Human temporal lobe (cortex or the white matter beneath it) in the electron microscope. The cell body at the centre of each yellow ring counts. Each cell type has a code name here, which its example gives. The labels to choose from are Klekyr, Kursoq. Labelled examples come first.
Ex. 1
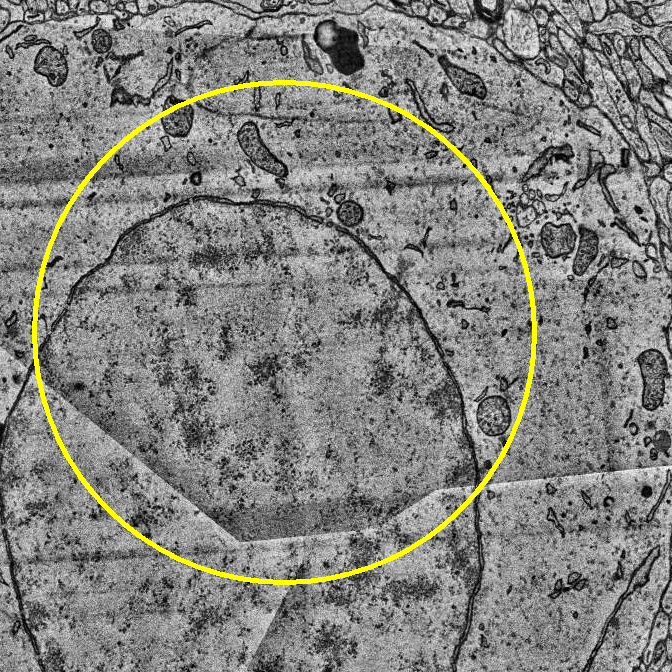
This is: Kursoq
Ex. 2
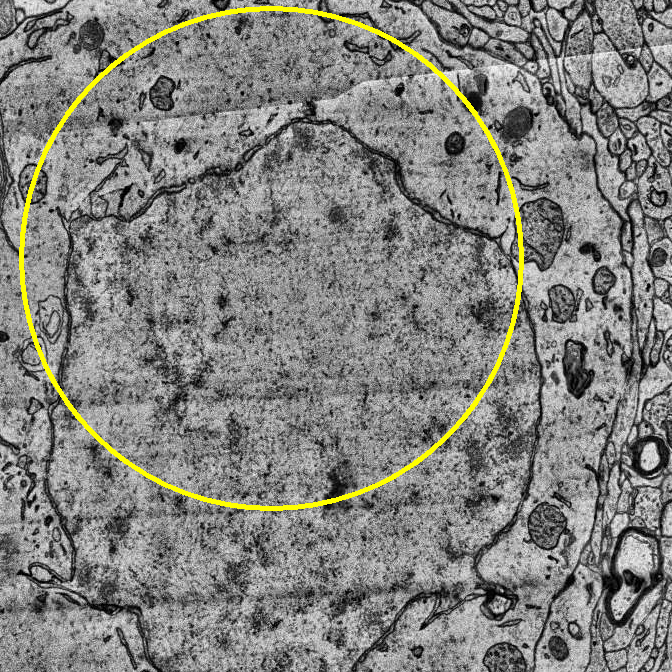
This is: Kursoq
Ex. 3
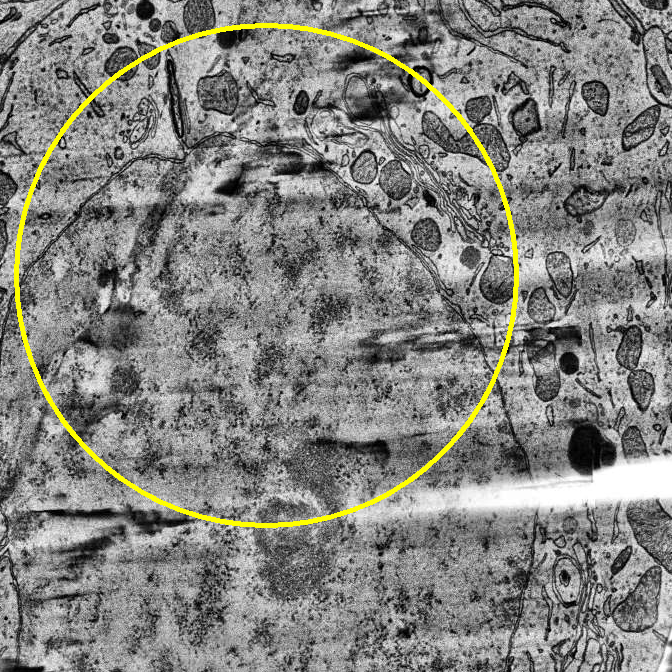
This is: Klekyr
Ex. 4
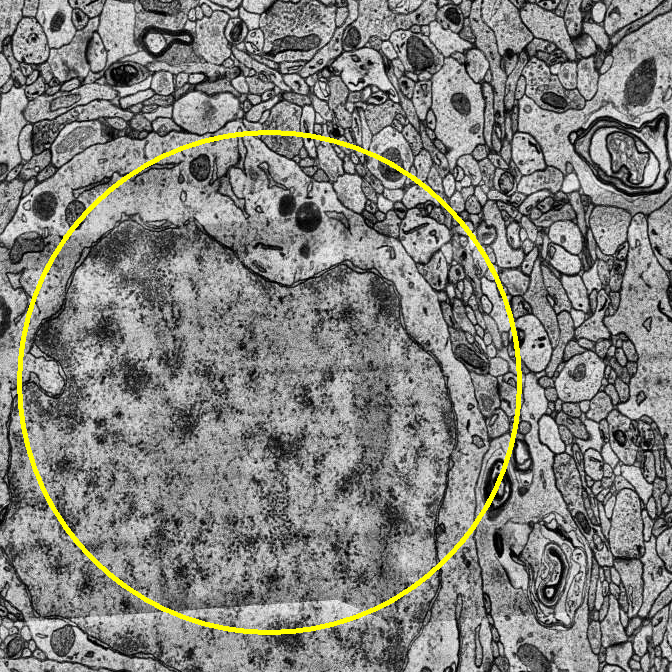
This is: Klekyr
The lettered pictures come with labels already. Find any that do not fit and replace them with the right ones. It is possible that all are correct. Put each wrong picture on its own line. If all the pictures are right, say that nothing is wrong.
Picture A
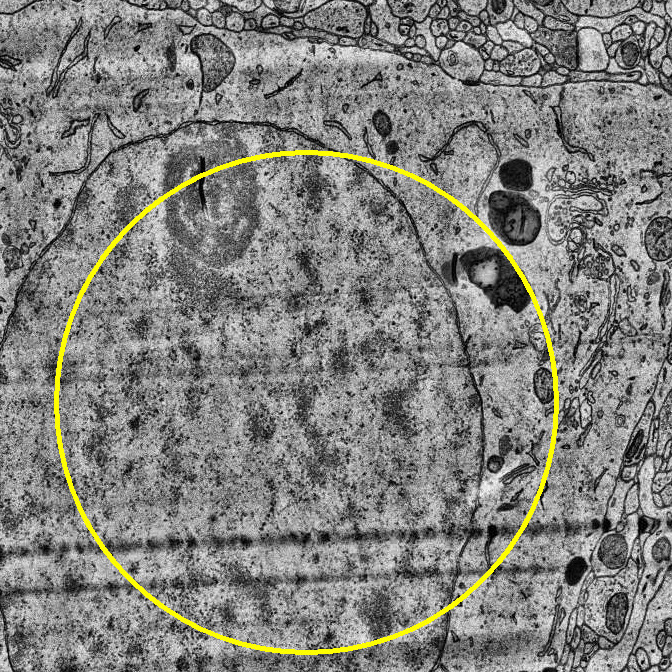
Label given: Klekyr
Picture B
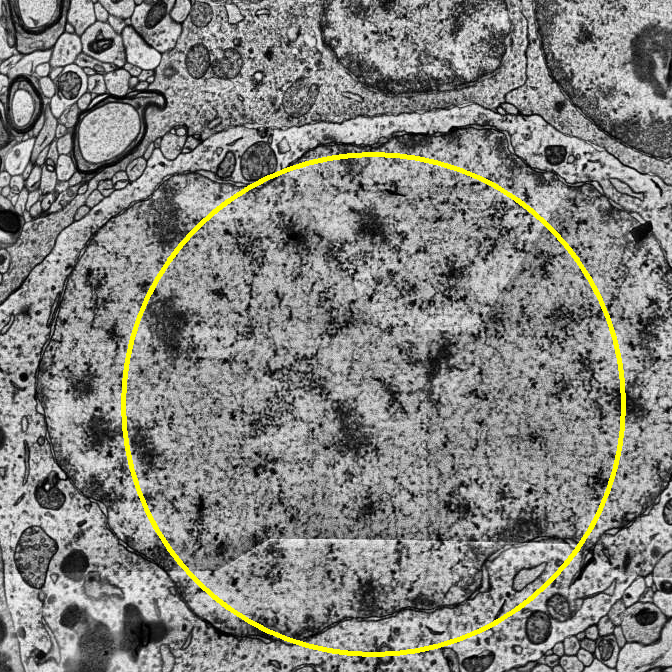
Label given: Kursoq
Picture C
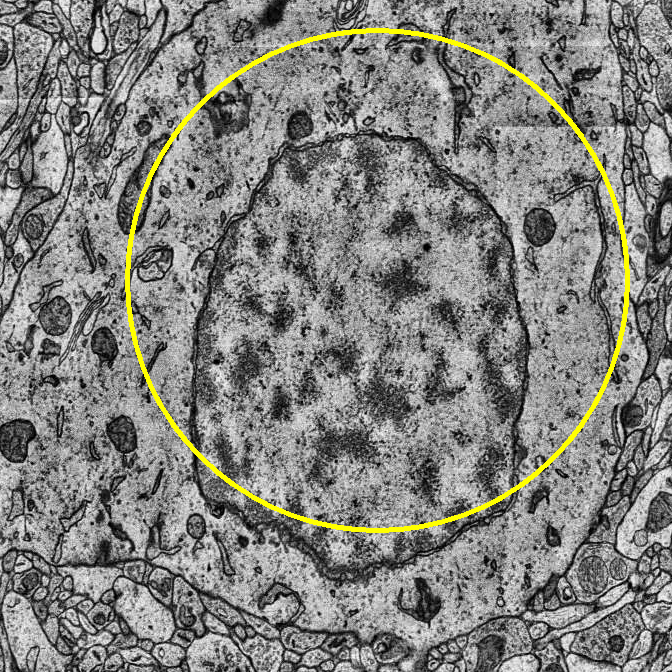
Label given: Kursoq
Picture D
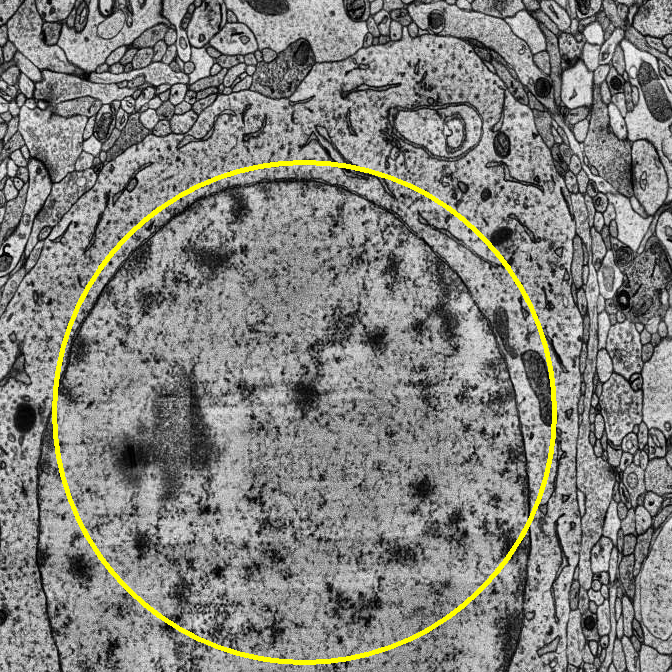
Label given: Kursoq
A: not Klekyr but Kursoq
B: not Kursoq but Klekyr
